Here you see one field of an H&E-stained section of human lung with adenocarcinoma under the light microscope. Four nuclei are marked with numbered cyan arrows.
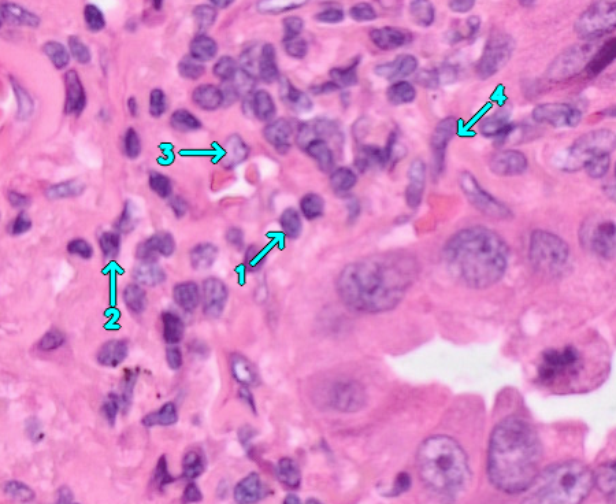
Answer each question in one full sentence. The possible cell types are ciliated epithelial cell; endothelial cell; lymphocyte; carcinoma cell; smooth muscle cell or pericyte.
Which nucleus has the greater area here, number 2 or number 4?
Number 4 is larger; its area is about 2 times that of number 2.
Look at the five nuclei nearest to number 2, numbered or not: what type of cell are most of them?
Lymphocytes make up most of the five nuclei closest to number 2.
